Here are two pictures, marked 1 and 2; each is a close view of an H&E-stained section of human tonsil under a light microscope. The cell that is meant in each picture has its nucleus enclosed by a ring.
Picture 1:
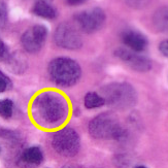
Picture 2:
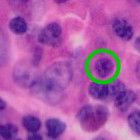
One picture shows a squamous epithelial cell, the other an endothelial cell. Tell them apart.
1: squamous epithelial cell
2: endothelial cell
